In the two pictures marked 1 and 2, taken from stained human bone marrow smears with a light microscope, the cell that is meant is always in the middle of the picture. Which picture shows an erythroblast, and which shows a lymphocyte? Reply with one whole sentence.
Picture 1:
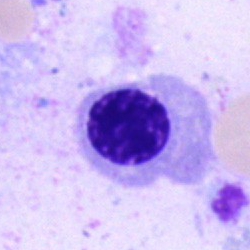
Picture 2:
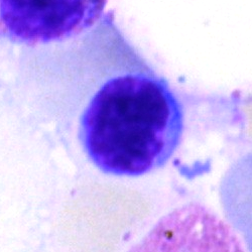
Picture 2 shows a lymphocyte, while picture 1 shows an erythroblast.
